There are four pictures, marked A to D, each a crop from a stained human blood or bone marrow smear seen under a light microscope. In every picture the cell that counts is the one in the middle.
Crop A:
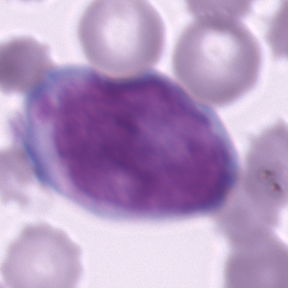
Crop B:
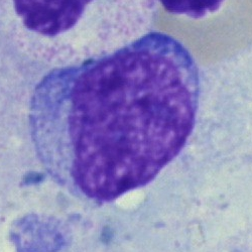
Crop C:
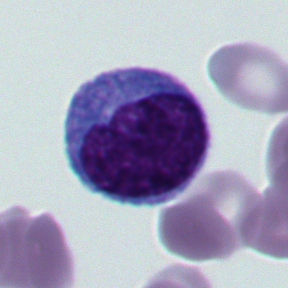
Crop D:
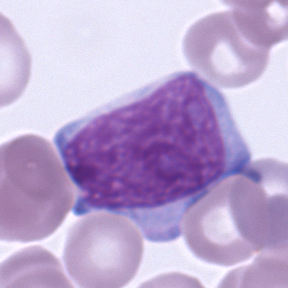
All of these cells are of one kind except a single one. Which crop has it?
C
